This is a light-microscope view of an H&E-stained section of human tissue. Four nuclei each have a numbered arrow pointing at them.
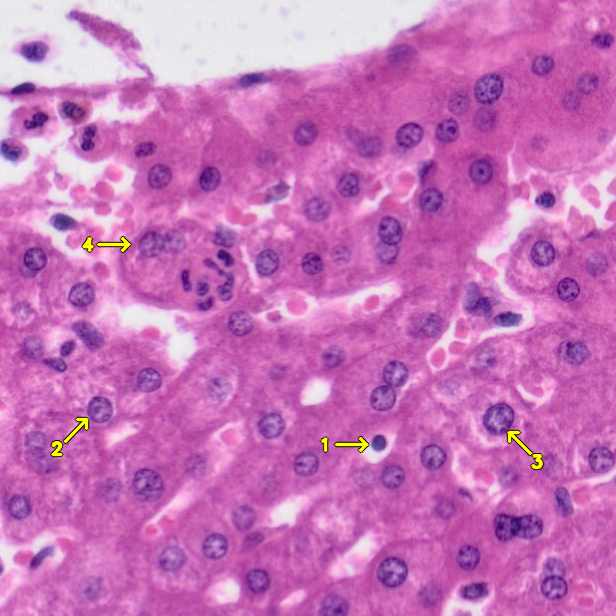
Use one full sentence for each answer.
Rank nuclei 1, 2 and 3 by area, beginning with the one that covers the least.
Smallest first, the nuclei run 1, 2, 3.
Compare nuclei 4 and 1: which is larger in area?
Nucleus 4 is larger, with an area about 2.5 times that of nucleus 1.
